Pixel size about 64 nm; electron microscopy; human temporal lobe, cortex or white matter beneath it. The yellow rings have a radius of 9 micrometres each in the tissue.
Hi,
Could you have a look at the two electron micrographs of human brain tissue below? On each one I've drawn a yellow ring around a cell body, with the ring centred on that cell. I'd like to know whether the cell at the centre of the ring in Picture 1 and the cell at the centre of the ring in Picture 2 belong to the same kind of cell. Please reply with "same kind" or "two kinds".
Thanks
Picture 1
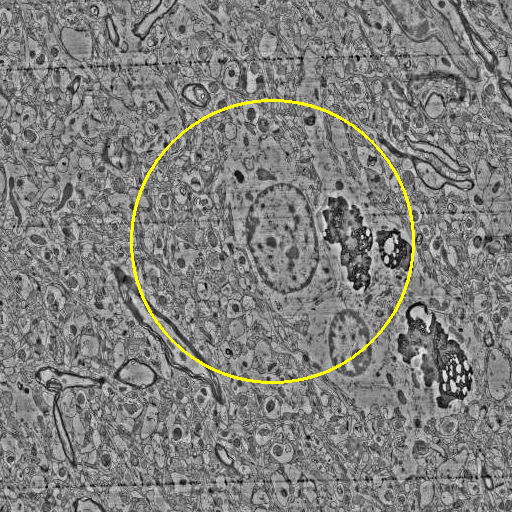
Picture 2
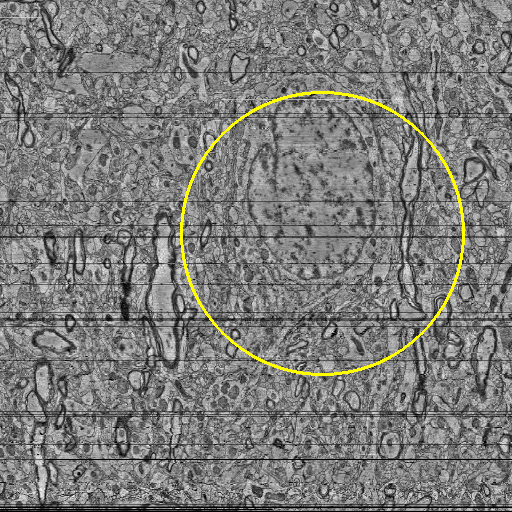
two kinds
